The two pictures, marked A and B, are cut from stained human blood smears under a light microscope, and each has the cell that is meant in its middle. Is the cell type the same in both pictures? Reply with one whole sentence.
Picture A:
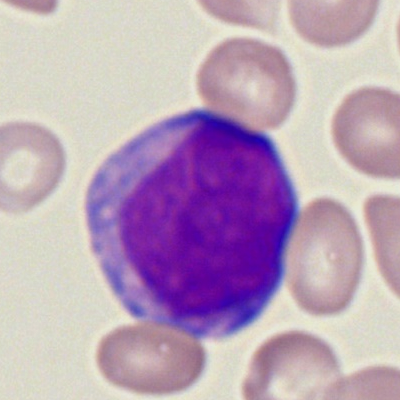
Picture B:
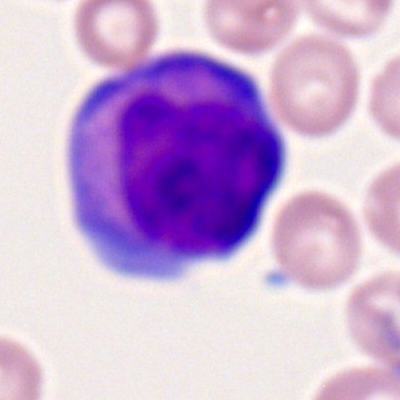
Yes; the cells in both pictures are myeloblasts.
